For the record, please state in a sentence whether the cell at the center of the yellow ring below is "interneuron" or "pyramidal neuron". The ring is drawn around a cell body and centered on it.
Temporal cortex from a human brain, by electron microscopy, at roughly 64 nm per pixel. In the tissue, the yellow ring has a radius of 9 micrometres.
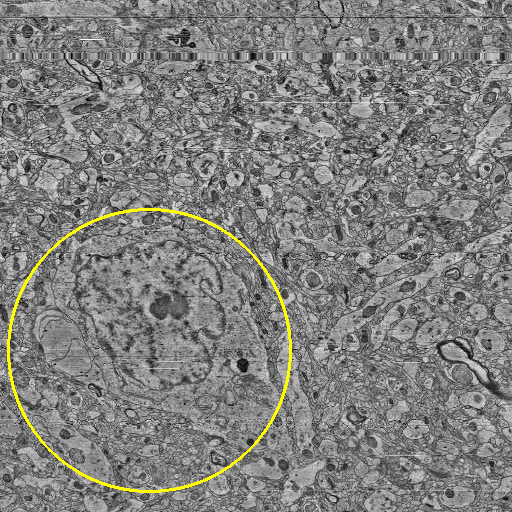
The cell at the ring's center is an interneuron.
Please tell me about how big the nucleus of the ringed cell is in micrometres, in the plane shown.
In this plane the nucleus is about 11 micrometres by 9.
